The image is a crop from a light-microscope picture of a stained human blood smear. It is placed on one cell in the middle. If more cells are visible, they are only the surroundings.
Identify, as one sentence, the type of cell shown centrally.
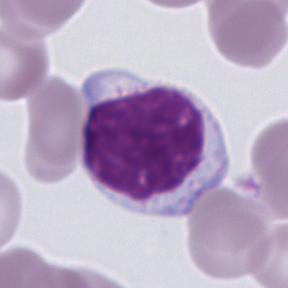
This crop is built around a large granular lymphocyte at its centre.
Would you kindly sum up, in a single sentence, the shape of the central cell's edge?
Irregularity marks the cell border, whether as raggedness or as projections.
